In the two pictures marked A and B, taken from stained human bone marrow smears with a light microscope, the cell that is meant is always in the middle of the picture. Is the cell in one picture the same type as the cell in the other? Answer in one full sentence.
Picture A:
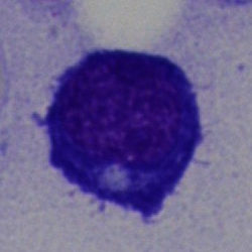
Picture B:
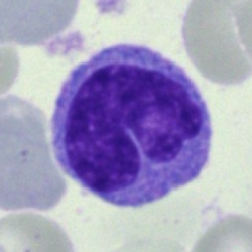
No, the types are not the same, since picture A shows a proerythroblast and picture B a monocyte.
